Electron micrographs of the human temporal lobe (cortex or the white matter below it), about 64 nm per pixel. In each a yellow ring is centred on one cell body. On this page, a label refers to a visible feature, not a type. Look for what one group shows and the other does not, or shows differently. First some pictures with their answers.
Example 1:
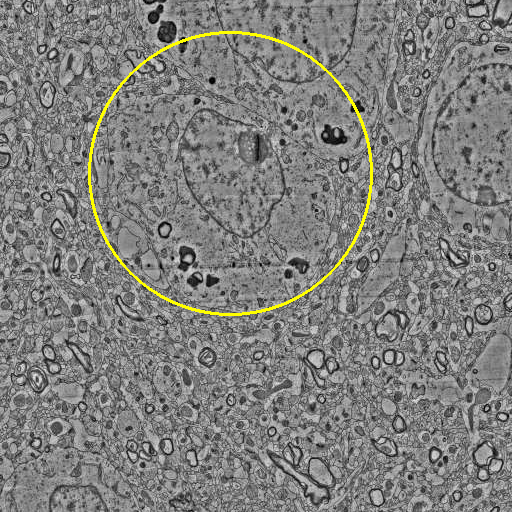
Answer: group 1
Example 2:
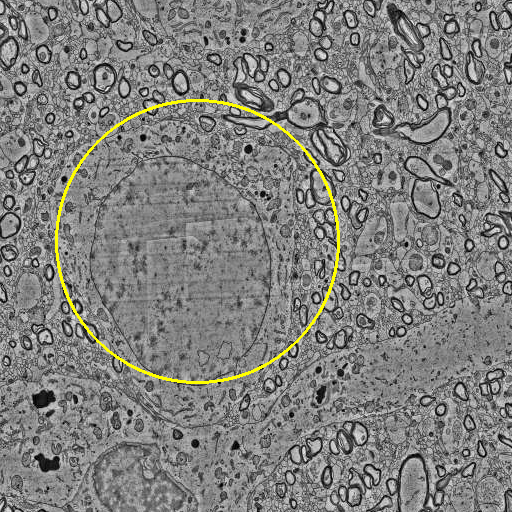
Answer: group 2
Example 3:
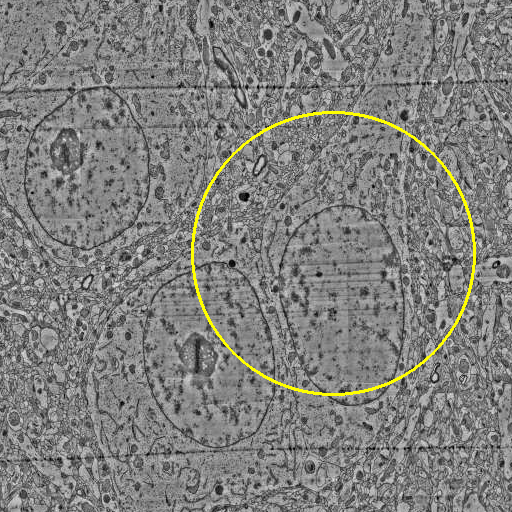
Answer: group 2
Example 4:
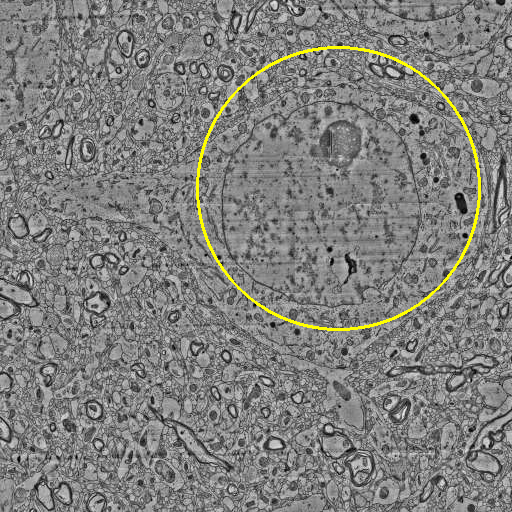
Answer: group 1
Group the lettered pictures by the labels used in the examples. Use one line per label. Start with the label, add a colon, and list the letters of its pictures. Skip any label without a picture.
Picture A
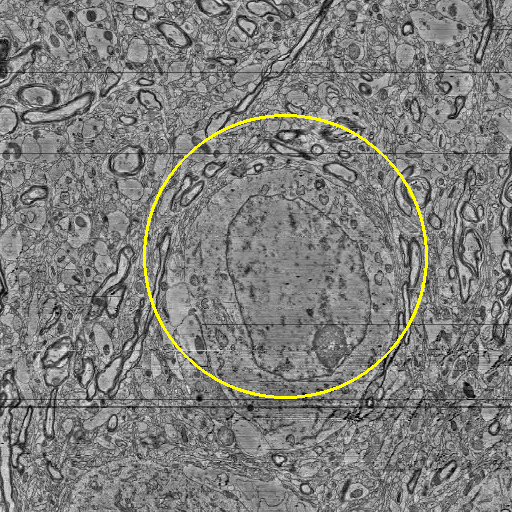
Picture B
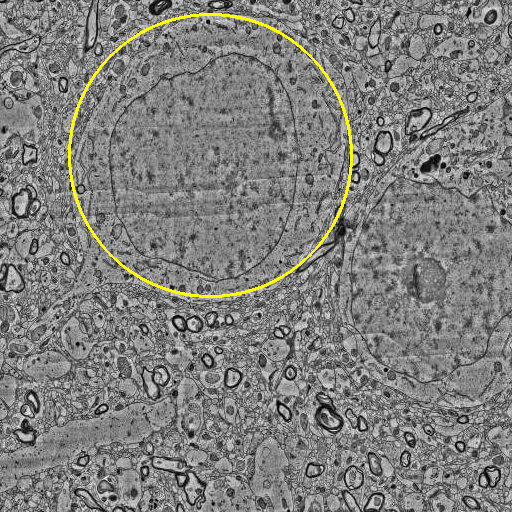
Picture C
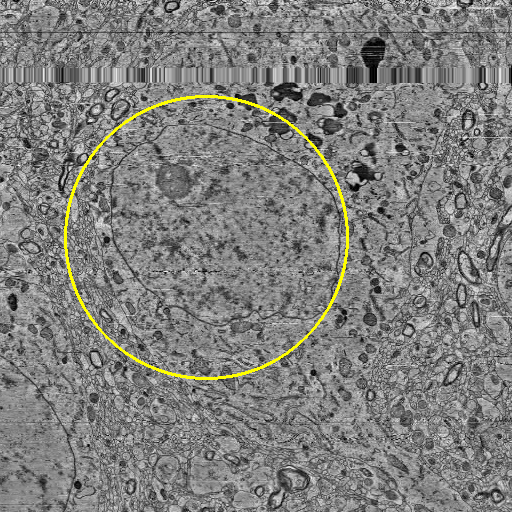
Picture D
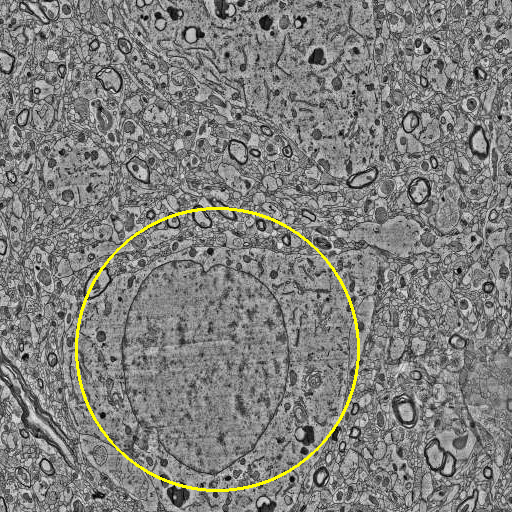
group 1: A, C
group 2: B, D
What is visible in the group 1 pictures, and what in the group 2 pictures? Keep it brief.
group 1: nucleolus seen; group 2: no nucleolus seen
